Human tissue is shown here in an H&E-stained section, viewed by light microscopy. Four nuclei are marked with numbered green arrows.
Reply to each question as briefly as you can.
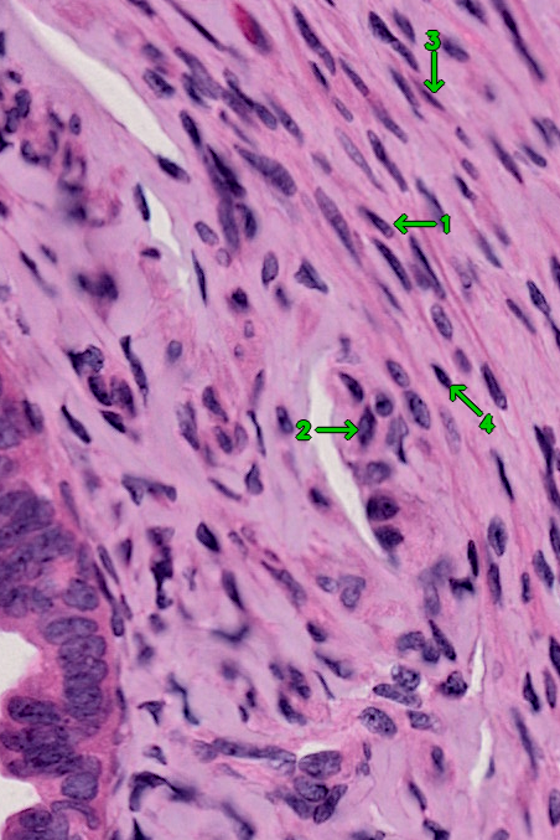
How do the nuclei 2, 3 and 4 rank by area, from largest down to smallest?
2, 4, 3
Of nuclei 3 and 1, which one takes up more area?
1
